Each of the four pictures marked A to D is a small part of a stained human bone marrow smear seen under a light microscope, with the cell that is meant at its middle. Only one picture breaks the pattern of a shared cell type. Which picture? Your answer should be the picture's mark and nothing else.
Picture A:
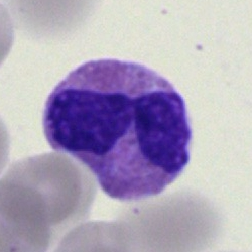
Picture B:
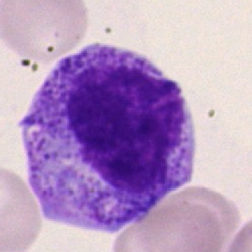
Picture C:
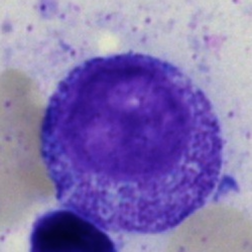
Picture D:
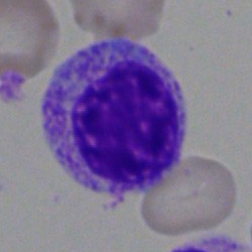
A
